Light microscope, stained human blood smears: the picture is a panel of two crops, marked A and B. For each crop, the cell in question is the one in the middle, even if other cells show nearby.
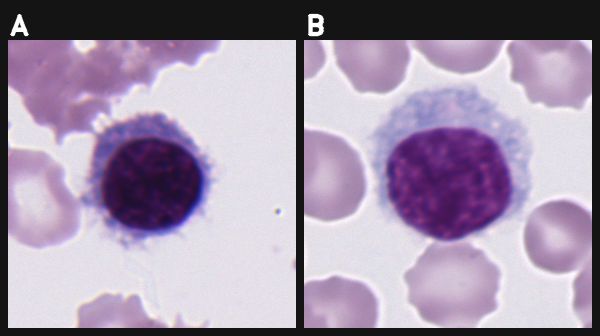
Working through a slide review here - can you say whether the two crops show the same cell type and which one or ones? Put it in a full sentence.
Yes, the pair of crops both show hairy cells.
